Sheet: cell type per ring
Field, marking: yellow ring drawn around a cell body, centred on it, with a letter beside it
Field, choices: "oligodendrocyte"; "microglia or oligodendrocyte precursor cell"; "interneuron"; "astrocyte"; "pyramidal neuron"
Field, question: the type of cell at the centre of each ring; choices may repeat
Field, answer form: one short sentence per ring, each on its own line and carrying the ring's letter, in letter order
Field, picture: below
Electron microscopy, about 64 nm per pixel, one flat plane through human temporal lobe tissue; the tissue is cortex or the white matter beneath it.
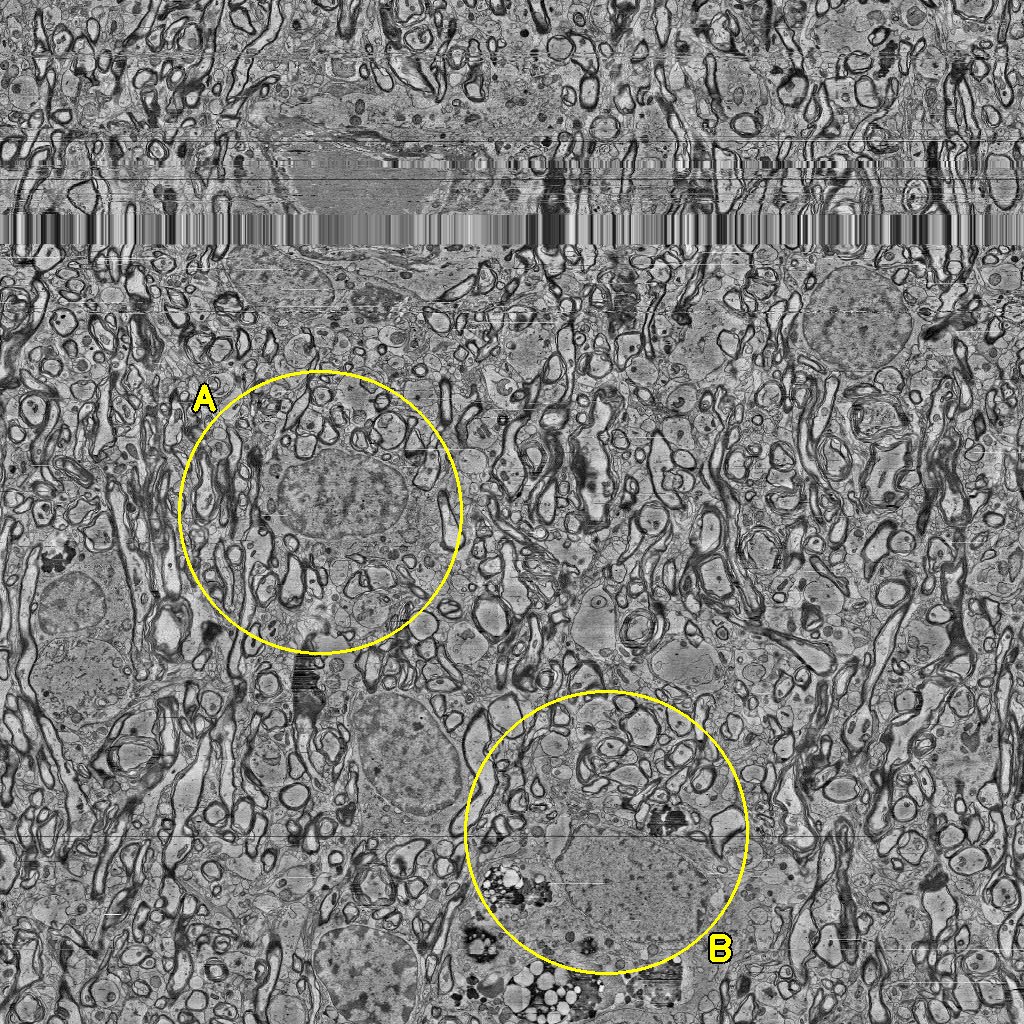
The cell body inside ring A, at its centre, is an oligodendrocyte.
The cell body inside ring B, at its centre, is an astrocyte.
